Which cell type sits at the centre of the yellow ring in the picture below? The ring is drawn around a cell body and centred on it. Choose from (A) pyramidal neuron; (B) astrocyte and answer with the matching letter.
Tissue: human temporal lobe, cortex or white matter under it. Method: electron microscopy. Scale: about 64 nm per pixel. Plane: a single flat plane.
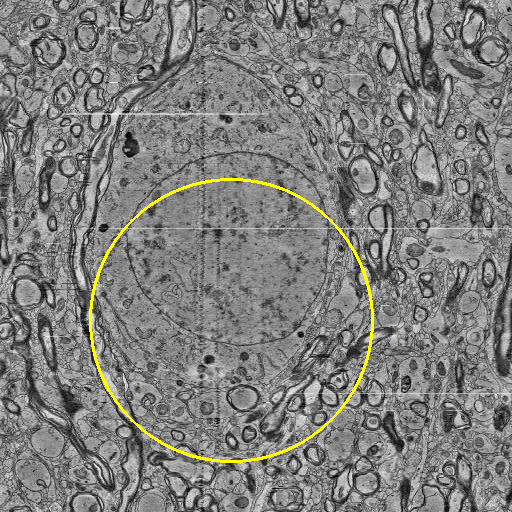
A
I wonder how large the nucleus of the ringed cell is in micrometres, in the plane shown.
The nucleus is approximately 13 micrometers across in this plane.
